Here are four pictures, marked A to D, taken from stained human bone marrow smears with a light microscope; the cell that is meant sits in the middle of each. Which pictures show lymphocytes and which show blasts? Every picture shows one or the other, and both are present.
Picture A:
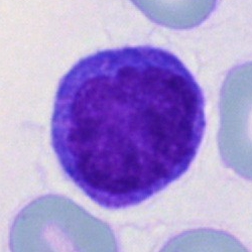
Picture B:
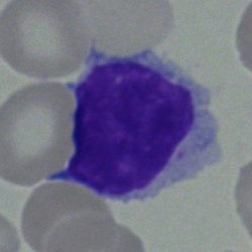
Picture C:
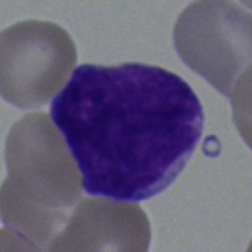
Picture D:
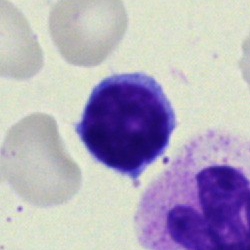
A: blast
B: lymphocyte
C: blast
D: lymphocyte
